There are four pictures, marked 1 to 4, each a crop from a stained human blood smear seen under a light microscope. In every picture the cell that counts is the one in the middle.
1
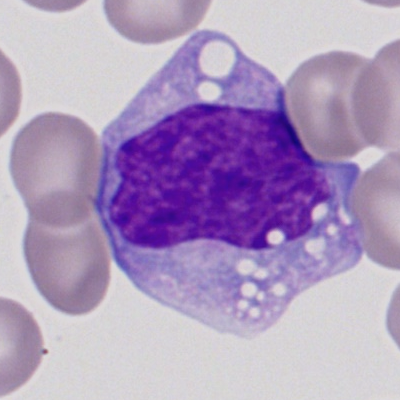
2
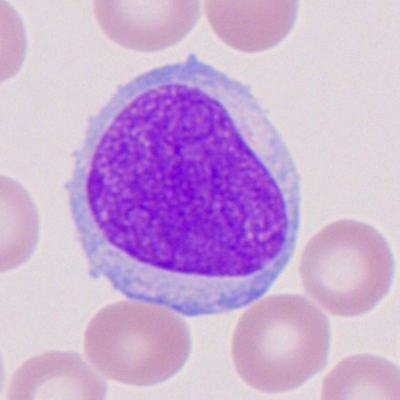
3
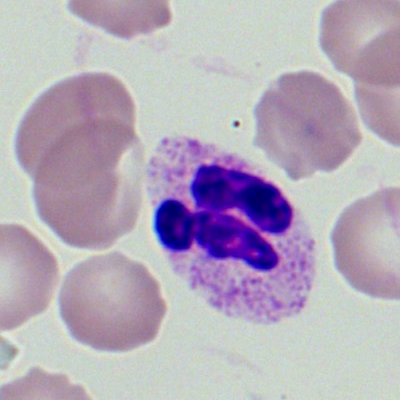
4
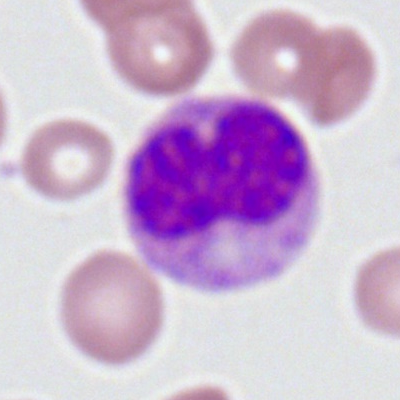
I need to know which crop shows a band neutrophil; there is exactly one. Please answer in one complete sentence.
Crop 4 is the one depicting a band neutrophil.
